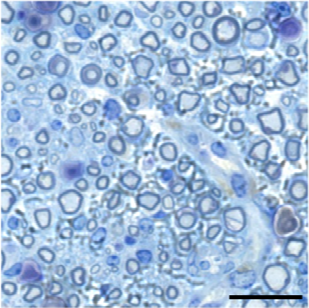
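This cross-section of nerve shows mostly small nerve fibres, each with a pale centre and a thin dark-blue ring of myelin, many of them irregular or angular in outline. The fibres are spread loosely through a pale background rather than packed together, and scattered darker purple-stained profiles lie among them.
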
